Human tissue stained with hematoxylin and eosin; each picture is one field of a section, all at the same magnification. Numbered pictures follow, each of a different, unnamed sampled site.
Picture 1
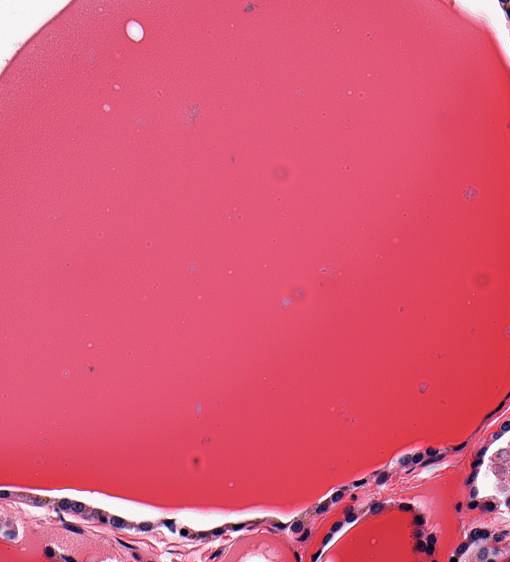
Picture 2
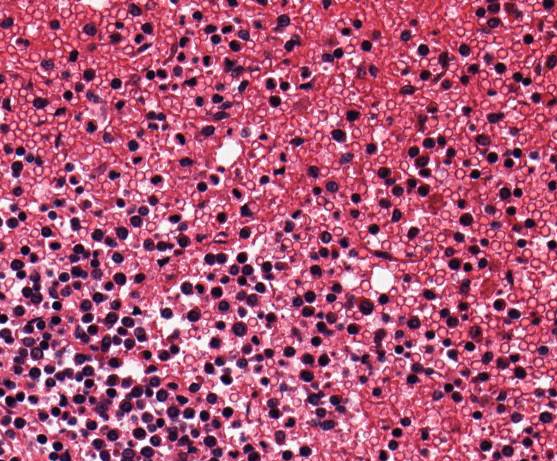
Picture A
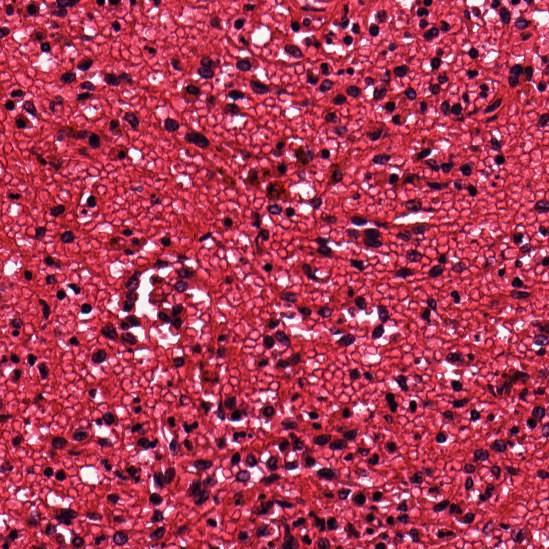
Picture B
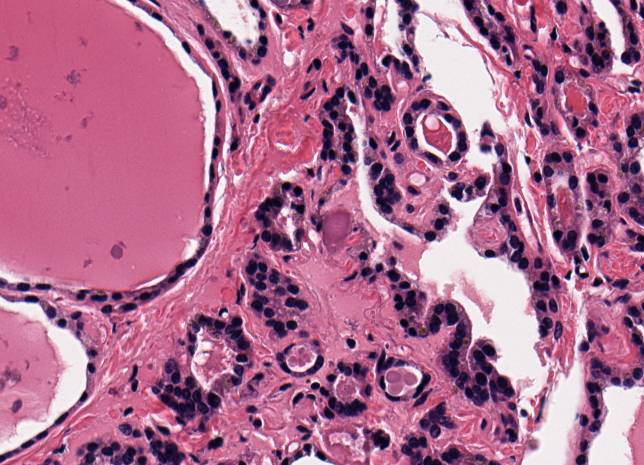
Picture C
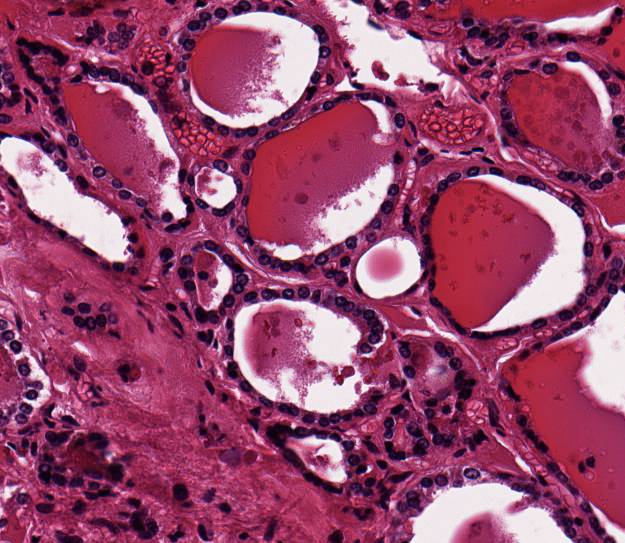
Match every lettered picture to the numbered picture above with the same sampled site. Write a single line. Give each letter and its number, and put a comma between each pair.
A 2, B 1, C 1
